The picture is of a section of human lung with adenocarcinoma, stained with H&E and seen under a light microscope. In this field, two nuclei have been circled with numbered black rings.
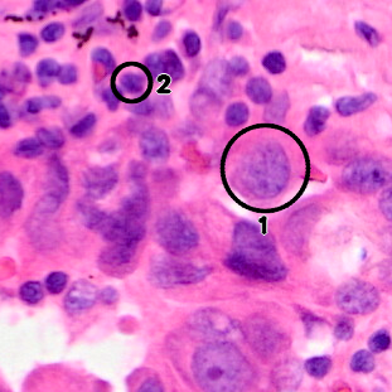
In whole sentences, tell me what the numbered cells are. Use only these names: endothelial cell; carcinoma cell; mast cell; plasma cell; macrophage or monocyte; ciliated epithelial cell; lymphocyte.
Cell 1 is a carcinoma cell. Cell 2 is a lymphocyte.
